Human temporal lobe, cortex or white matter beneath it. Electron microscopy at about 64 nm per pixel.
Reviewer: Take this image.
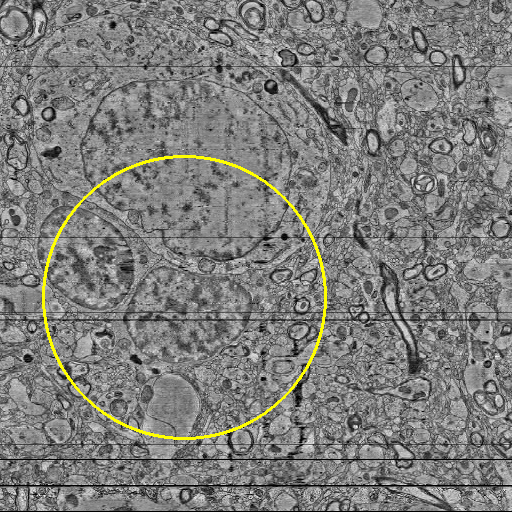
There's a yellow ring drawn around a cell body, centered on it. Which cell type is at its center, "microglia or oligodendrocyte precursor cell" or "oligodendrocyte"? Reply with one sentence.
At the center of the yellow ring is an oligodendrocyte.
